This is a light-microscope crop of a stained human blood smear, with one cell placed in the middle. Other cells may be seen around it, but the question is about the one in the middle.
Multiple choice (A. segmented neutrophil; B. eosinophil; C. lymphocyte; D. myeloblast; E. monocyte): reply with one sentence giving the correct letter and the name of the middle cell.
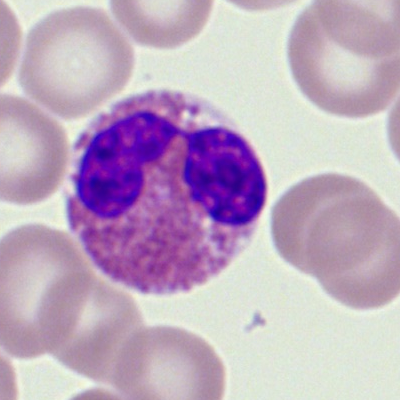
The expected answer is option B, the central cell being an eosinophil.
